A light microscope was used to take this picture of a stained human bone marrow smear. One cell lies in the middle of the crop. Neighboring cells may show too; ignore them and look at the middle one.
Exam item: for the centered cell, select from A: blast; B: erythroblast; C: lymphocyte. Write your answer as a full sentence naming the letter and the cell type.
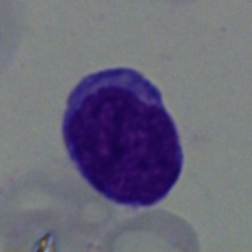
Since the middle cell is a blast, option A is the right one.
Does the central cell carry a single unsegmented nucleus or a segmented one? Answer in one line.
The nucleus is one compact mass, round, oval or kidney-shaped in outline.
